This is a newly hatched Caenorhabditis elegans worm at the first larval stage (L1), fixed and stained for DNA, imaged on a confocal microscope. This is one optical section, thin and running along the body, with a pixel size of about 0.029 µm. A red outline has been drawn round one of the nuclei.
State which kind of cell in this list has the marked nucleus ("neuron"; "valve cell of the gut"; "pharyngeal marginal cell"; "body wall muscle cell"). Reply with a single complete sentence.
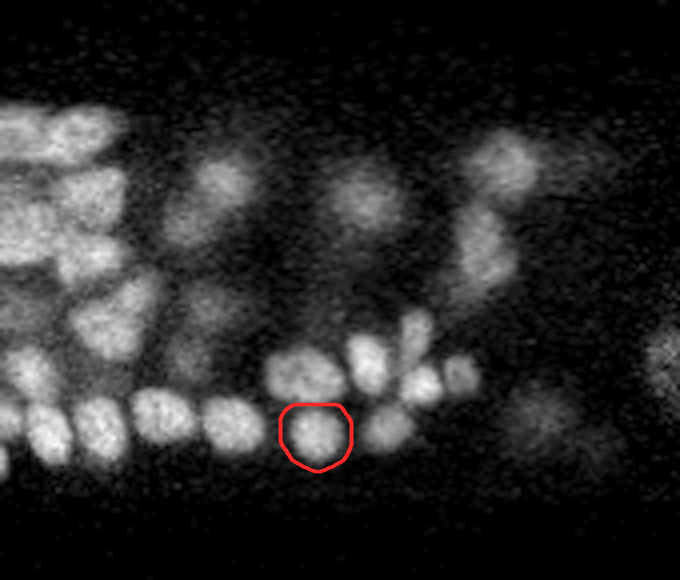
It is the nucleus of a neuron.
